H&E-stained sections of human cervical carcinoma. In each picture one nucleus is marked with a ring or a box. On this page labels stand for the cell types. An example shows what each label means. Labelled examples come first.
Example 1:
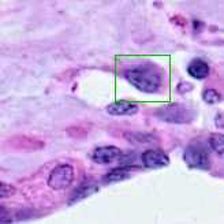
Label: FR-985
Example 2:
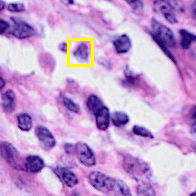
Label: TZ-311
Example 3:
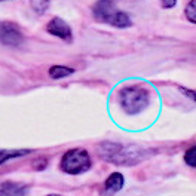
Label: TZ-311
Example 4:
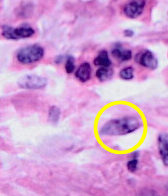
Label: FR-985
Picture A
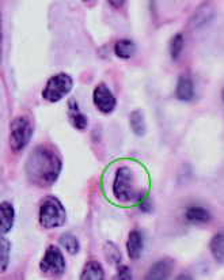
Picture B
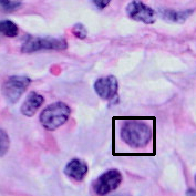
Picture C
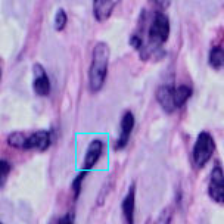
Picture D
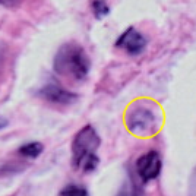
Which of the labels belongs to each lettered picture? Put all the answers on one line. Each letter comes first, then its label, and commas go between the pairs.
A TZ-311, B FR-985, C TZ-311, D FR-985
